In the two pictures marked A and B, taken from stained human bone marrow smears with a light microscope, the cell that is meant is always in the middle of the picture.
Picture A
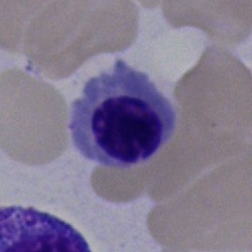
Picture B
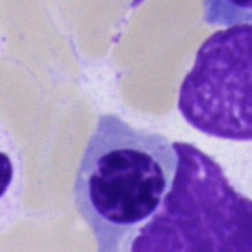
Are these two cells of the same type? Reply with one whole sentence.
Yes, both are erythroblasts.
